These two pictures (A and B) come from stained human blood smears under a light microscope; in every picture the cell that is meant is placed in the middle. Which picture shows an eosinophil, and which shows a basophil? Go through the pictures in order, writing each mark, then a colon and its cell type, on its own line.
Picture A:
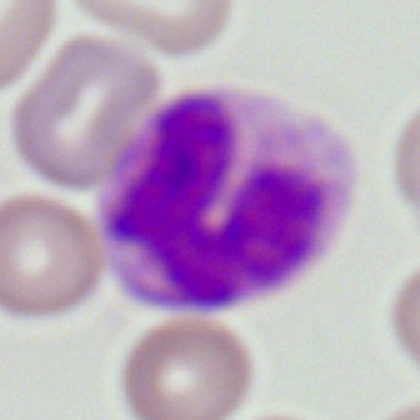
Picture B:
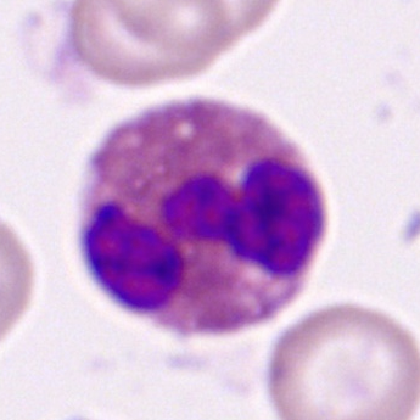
A: basophil
B: eosinophil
